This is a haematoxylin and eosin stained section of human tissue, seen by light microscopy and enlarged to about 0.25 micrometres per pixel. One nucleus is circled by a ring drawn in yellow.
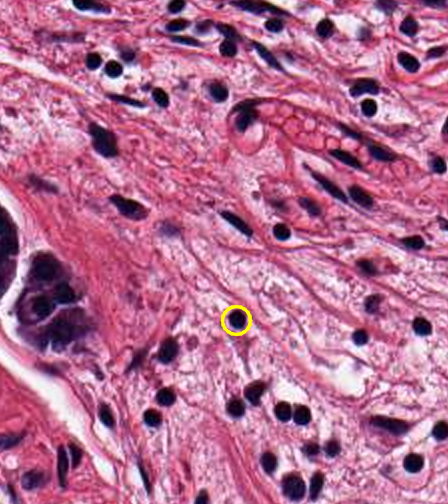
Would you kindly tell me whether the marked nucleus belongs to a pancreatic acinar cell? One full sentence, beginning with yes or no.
No, the marked nucleus belongs to a supporting cell, not to a pancreatic acinar cell.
